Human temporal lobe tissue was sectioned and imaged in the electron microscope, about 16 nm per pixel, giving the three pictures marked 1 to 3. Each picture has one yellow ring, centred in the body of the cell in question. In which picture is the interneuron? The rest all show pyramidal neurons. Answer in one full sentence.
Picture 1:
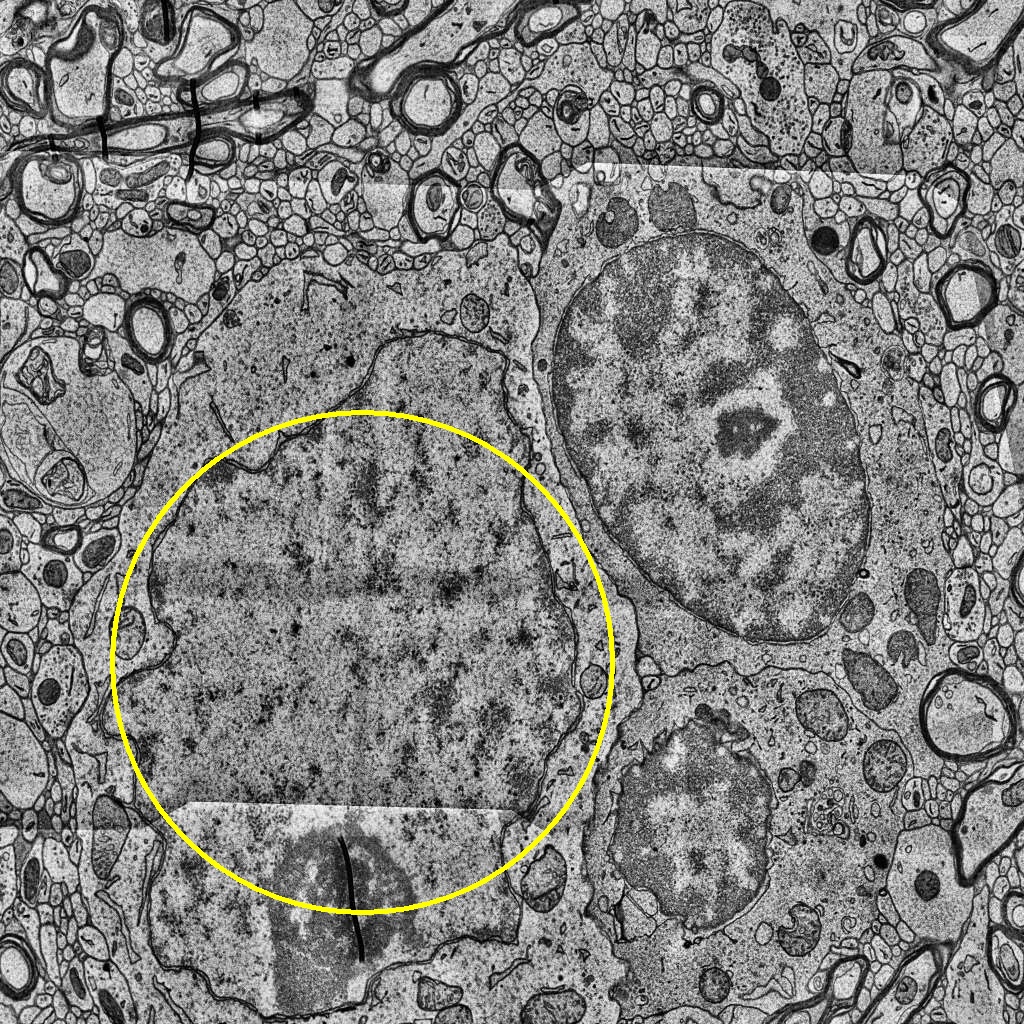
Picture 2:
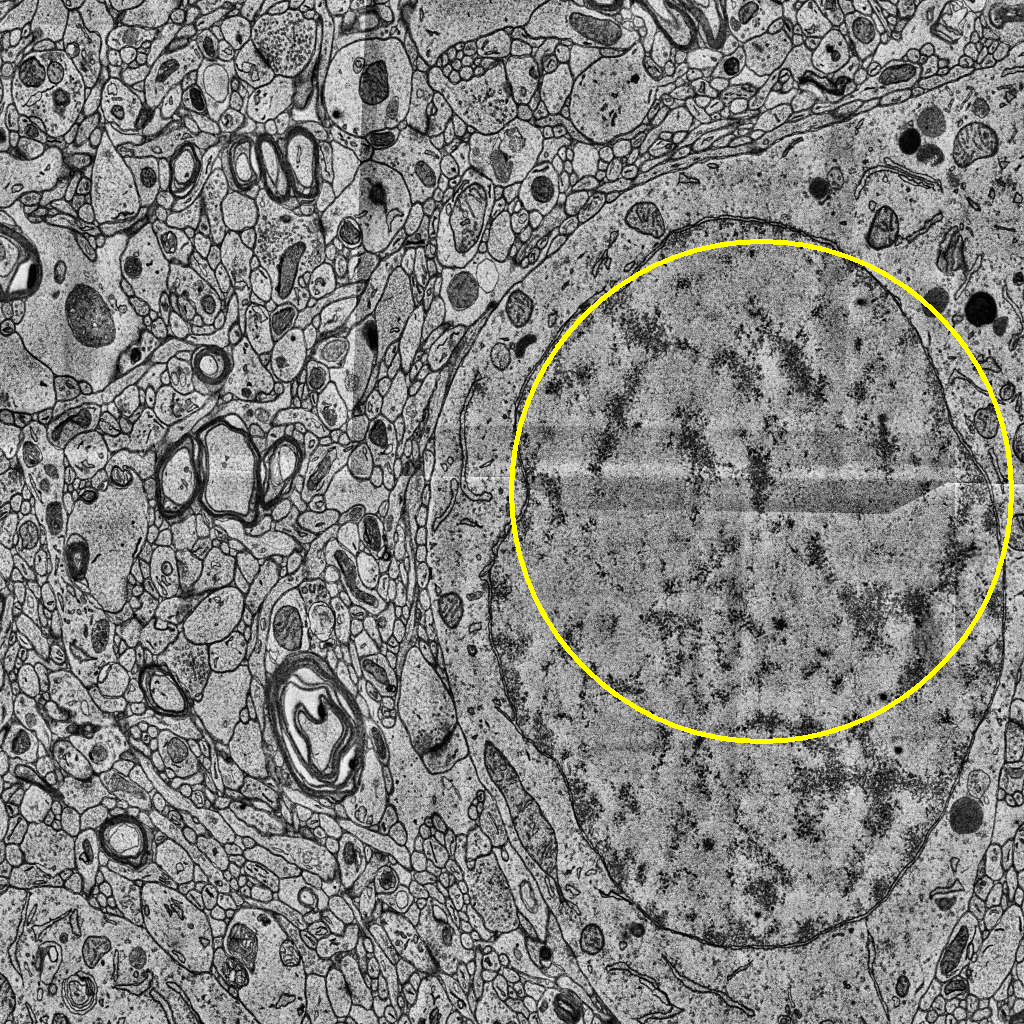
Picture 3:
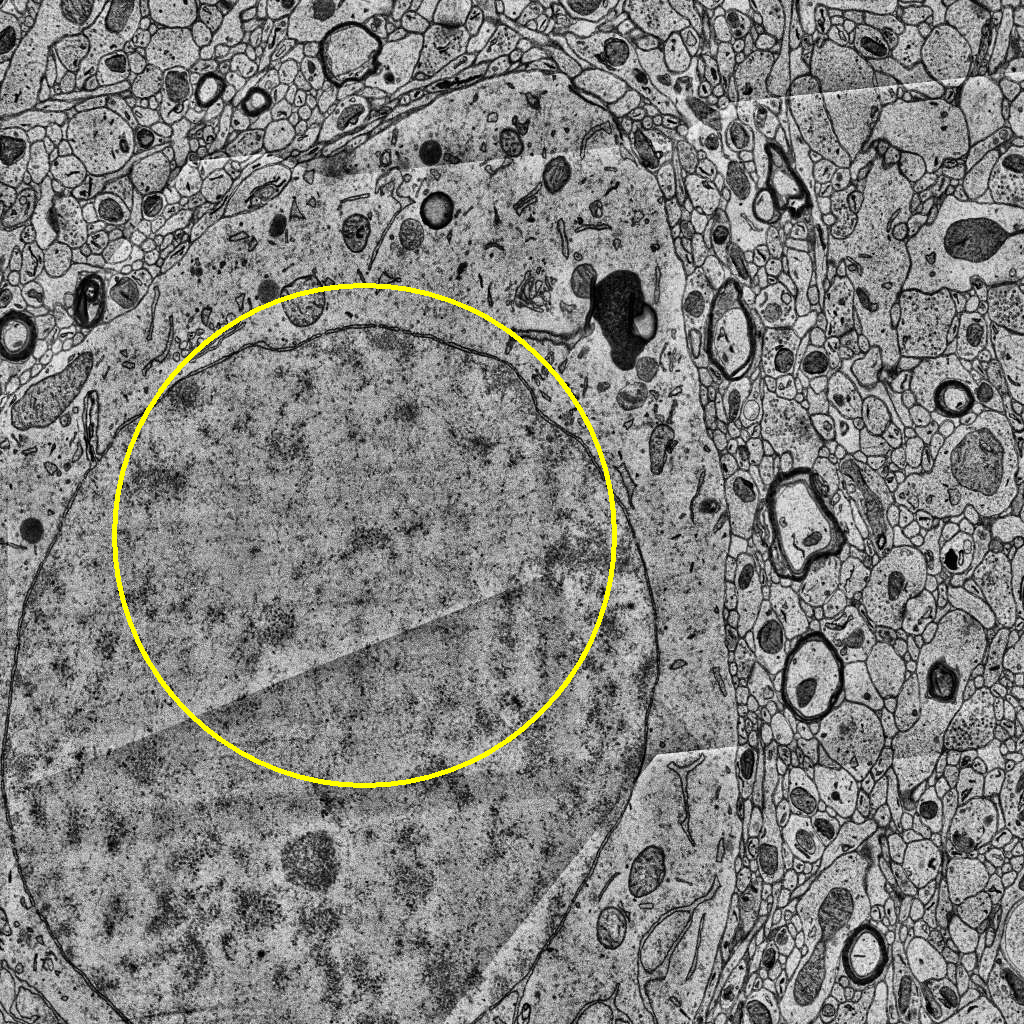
The cell in picture 1 is the interneuron.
